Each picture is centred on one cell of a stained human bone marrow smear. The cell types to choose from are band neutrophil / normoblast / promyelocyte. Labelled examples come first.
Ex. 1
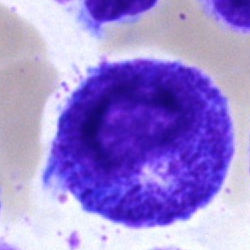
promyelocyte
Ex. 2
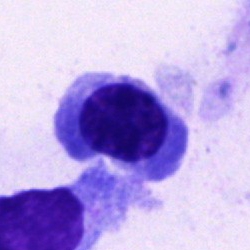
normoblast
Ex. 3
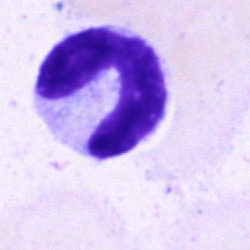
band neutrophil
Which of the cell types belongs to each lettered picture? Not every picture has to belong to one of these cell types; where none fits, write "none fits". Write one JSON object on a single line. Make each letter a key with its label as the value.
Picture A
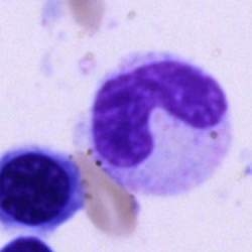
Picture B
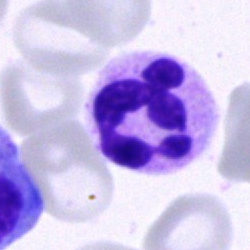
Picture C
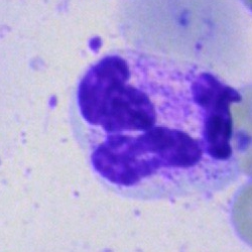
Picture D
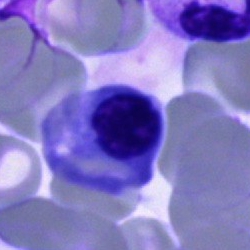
{"A": "band neutrophil", "B": "none fits", "C": "none fits", "D": "normoblast"}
